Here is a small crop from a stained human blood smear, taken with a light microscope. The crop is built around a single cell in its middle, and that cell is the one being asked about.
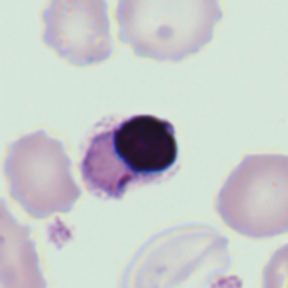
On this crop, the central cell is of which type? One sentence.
The cell around which this crop is centred is an erythroblast.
